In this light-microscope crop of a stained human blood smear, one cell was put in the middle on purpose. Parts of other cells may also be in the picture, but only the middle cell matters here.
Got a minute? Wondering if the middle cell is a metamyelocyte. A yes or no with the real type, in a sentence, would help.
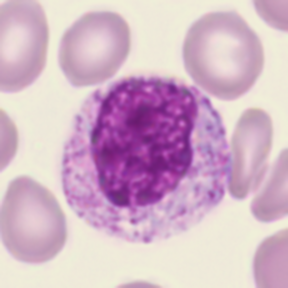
Yes, the cell at the centre is designated a metamyelocyte.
